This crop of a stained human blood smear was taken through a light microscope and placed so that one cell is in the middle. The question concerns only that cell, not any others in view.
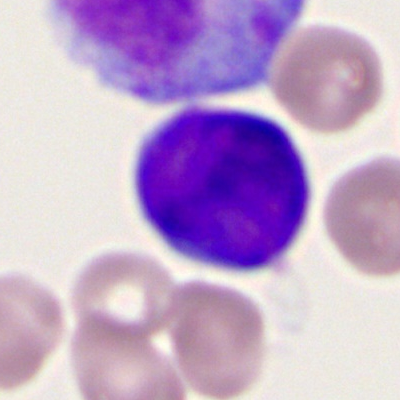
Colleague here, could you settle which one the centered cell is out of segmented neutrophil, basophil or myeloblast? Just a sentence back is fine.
The central cell, amid any neighbouring cells, is a myeloblast.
